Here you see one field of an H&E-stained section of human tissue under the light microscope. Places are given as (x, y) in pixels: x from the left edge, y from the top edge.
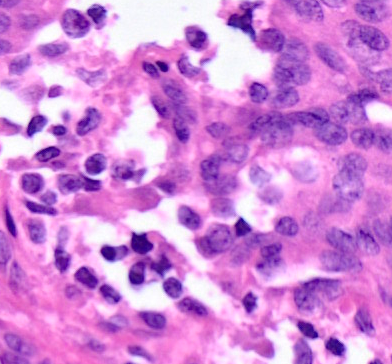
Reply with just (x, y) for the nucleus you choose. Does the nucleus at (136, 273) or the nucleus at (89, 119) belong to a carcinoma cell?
(136, 273)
